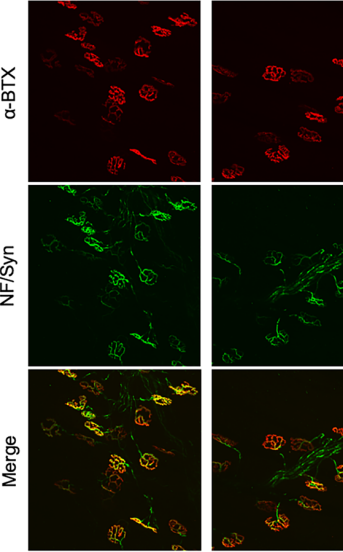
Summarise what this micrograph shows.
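Confocal views of skeletal muscle with many small red plaques scattered across the field, each shaped like a branched ring or pretzel, the typical form of neuromuscular junctions seen from the face. Green fine threads, the nerve fibres and their terminals, run through the tissue and spread over many of the plaques; in the merged images the overlap shows as yellow. Some red plaques carry little or no green over them, and in one column long green fibres run in bundles between plaques without ending on them. The muscle fibres themselves are not stained and form the dark background.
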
